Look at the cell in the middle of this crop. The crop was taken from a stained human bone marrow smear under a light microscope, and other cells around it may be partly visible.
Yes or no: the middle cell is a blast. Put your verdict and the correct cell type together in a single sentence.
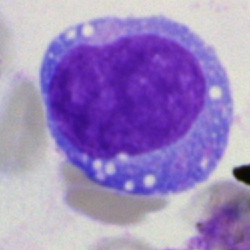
Yes, the cell found in the middle is a blast.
